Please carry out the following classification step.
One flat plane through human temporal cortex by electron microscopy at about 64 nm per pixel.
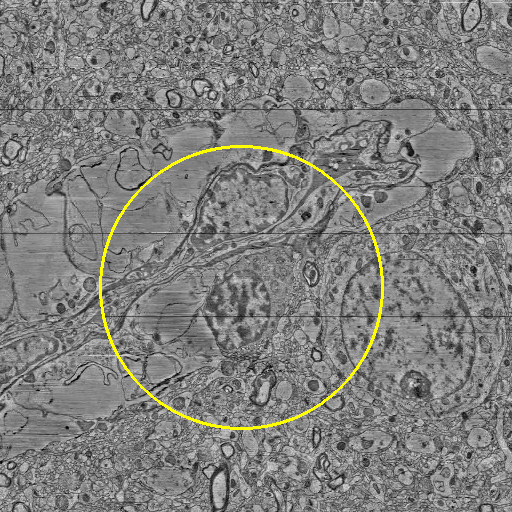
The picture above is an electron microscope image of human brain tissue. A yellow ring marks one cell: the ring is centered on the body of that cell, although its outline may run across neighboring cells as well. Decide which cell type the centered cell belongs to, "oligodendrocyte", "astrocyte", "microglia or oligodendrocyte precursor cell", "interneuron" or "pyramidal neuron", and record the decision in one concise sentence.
The cell centered in the yellow ring is an oligodendrocyte.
